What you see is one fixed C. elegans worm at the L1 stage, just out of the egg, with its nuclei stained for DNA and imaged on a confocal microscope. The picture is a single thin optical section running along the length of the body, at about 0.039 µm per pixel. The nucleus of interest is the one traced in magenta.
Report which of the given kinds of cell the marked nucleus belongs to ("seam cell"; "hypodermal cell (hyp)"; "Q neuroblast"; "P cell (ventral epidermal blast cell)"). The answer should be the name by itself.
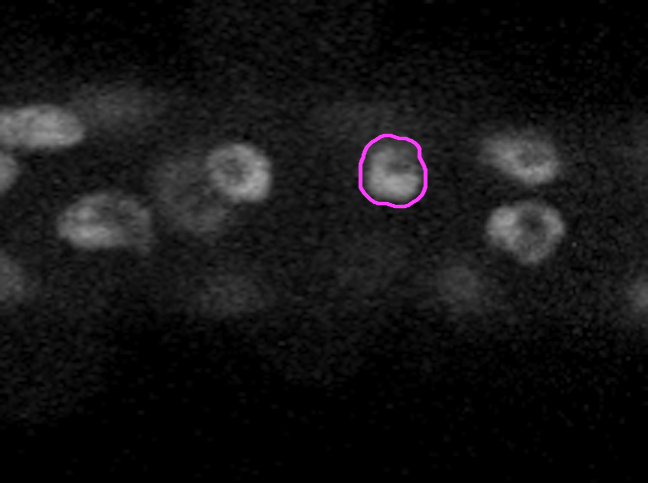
seam cell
